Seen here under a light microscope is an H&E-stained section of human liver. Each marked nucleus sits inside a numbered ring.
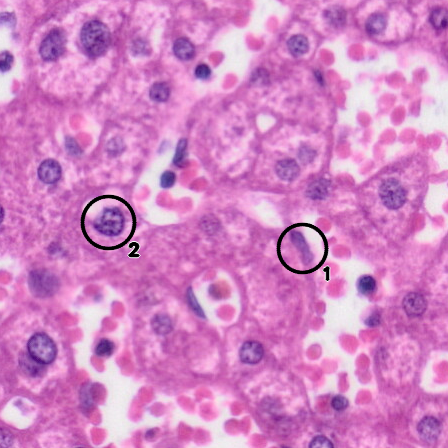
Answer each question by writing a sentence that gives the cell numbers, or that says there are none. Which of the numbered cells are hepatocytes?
Only at number 2 is there a hepatocyte among the marked cells.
